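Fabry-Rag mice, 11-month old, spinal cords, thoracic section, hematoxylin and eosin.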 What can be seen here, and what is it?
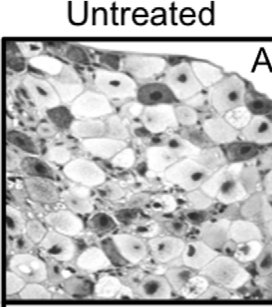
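Dorsal root ganglion with densely packed large ganglion cells, most of them vacuolated. The large rounded cell bodies mostly have pale, cleared, foamy cytoplasm, with a dark nucleus near the centre. A minority of the large cells stain evenly and darker. Small dark nuclei of satellite and interstitial cells lie between the cell bodies. The cells are closely apposed with little intervening tissue.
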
